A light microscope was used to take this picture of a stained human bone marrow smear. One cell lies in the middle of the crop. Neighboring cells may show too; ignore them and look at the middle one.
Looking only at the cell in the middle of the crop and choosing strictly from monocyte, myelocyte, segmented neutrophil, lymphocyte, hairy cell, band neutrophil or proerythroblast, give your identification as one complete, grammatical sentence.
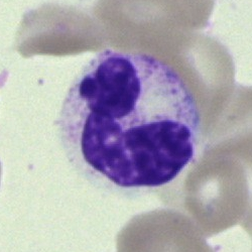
Looking at the middle of the crop, the cell there is a segmented neutrophil.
